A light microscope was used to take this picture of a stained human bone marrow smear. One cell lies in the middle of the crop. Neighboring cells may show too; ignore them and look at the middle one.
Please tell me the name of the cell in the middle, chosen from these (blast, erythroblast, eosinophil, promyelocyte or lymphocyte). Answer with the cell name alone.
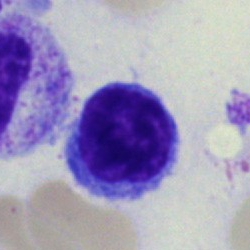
lymphocyte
